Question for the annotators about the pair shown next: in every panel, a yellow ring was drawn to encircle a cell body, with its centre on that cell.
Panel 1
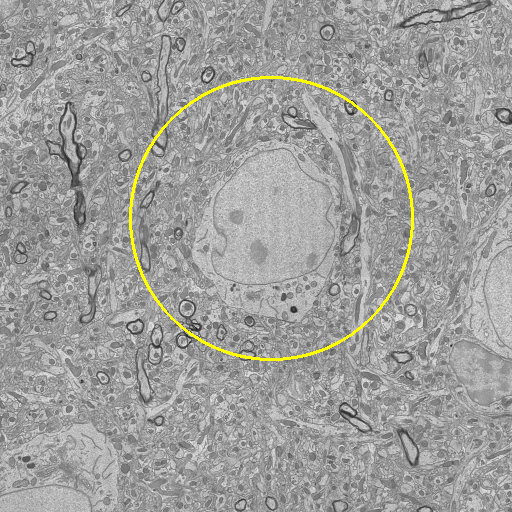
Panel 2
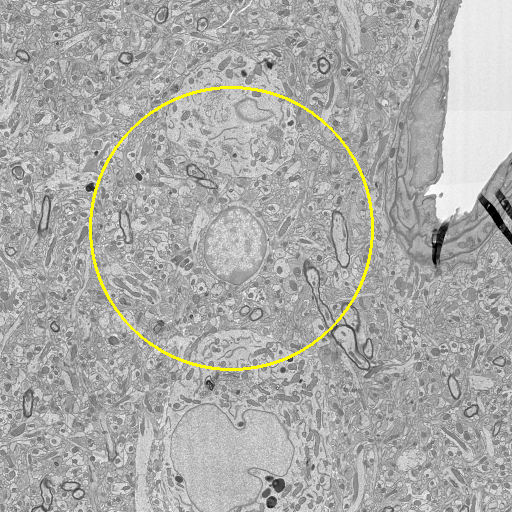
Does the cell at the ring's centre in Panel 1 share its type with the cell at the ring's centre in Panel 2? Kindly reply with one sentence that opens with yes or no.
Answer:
No, in Panels 1 and 2 the cells at the ring centres belong to separate types.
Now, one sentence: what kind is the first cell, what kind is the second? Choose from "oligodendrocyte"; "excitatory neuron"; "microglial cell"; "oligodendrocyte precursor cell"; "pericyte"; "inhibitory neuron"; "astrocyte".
The first picture has an excitatory neuron at its ring centre, and the second has an oligodendrocyte.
